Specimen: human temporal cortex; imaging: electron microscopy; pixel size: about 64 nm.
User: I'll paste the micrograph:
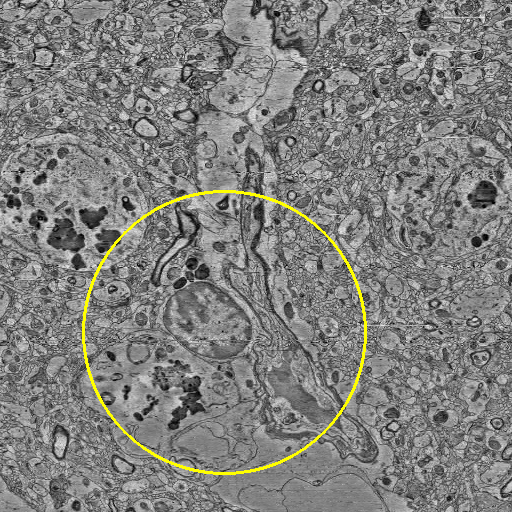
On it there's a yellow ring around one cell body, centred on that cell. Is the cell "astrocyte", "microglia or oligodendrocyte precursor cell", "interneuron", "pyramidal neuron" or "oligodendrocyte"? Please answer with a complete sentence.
The cell ringed in yellow is a microglial cell or oligodendrocyte precursor cell.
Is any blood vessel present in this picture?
Yes, a blood vessel can be seen.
